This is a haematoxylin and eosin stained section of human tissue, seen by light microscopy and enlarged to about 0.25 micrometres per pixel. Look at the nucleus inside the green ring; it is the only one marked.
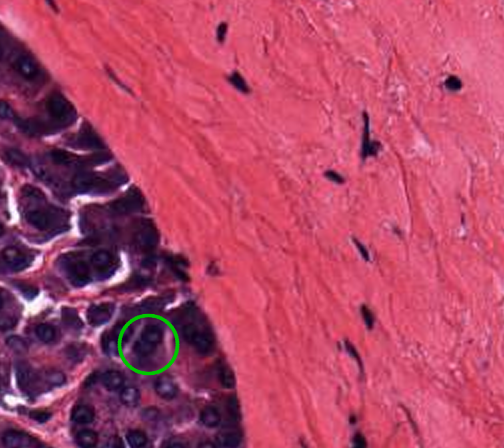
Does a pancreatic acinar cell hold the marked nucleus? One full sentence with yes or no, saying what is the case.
Yes, it is a pancreatic acinar cell to which the marked nucleus belongs.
